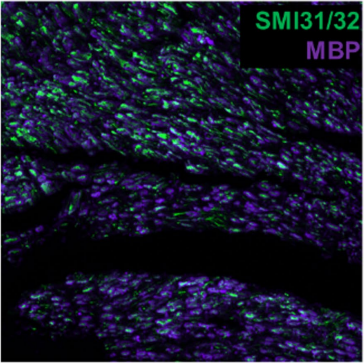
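The nerve tissue is divided into bands or fascicle-like regions separated by wide dark areas without labeling. Within the bands, small elongated green axon profiles are aligned in parallel. Purple labeling lies closely alongside and around many of the green profiles, and some profiles appear pale where the two colours overlap.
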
